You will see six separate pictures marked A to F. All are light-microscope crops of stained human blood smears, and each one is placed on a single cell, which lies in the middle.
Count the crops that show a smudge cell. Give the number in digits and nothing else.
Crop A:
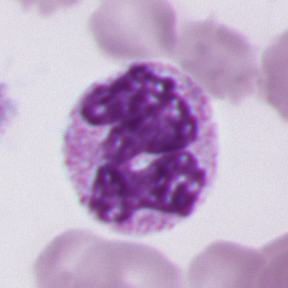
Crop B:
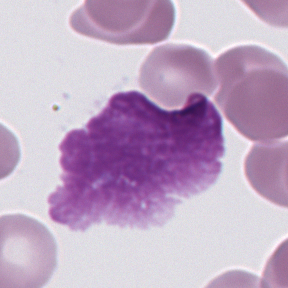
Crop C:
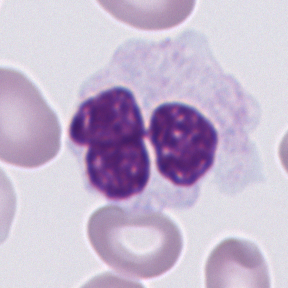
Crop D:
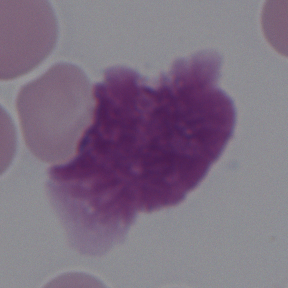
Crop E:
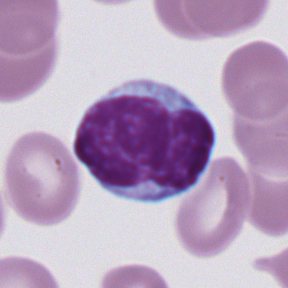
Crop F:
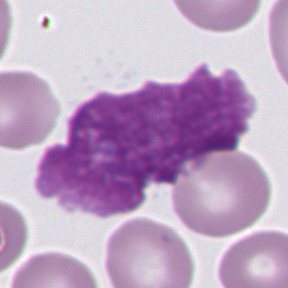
3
